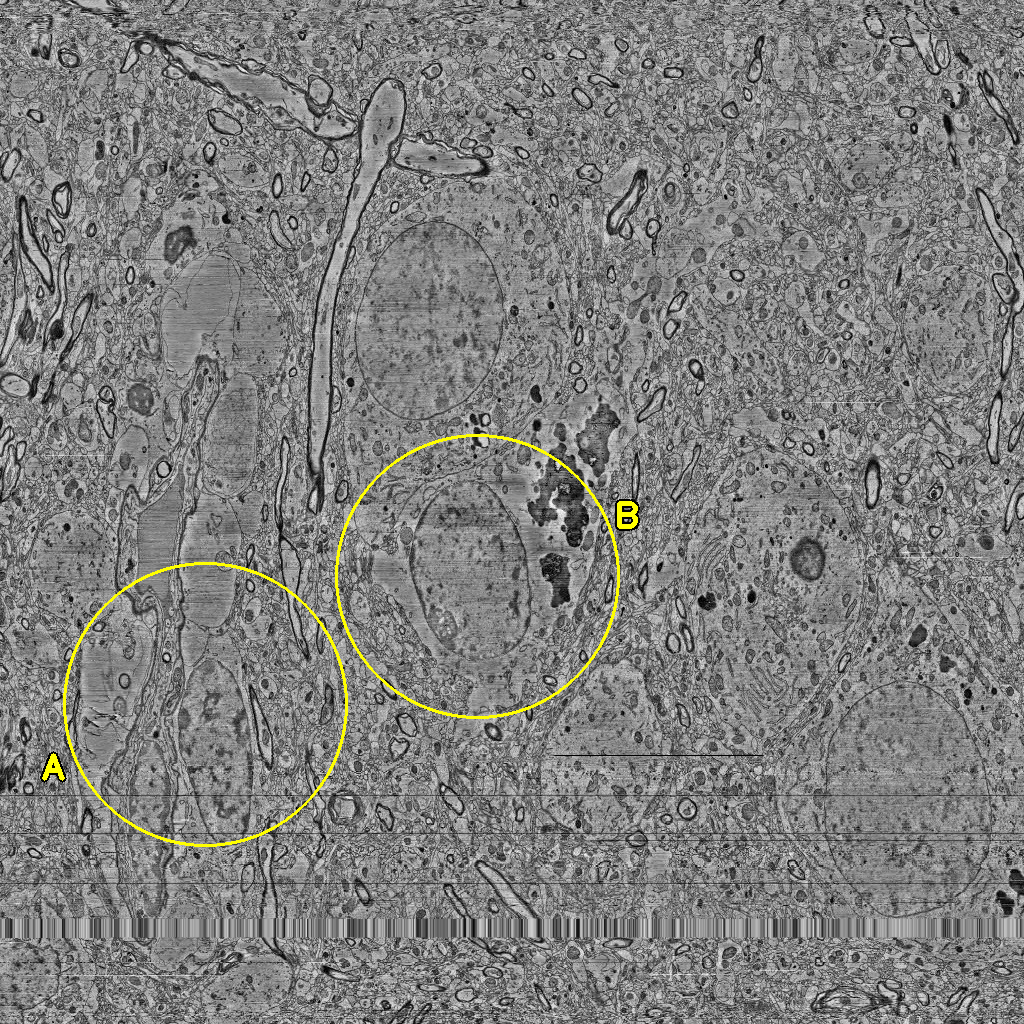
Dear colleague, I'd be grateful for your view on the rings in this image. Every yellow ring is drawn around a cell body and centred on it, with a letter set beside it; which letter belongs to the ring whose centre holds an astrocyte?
B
